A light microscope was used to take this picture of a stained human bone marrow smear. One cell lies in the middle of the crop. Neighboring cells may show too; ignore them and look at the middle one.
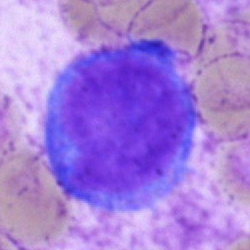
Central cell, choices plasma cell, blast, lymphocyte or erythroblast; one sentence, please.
The cell the crop is centered on is a blast.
